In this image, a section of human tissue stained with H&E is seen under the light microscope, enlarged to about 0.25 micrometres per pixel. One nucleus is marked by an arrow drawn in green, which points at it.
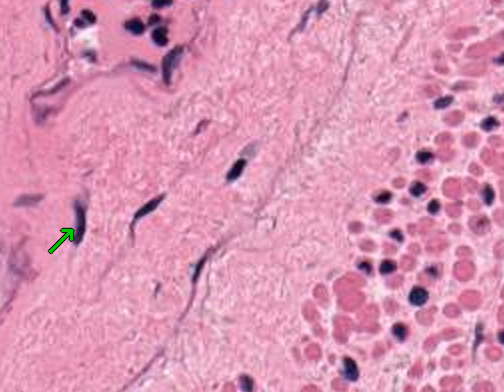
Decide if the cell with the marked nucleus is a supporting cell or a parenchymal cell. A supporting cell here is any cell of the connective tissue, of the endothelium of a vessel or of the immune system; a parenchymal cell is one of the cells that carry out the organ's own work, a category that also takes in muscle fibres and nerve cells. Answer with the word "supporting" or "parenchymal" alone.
supporting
